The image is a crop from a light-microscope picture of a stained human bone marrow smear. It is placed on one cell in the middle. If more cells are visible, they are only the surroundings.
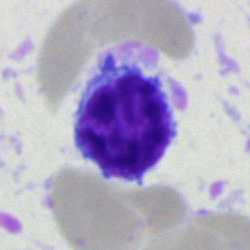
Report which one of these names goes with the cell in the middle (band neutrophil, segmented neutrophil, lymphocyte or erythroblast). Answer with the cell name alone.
lymphocyte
